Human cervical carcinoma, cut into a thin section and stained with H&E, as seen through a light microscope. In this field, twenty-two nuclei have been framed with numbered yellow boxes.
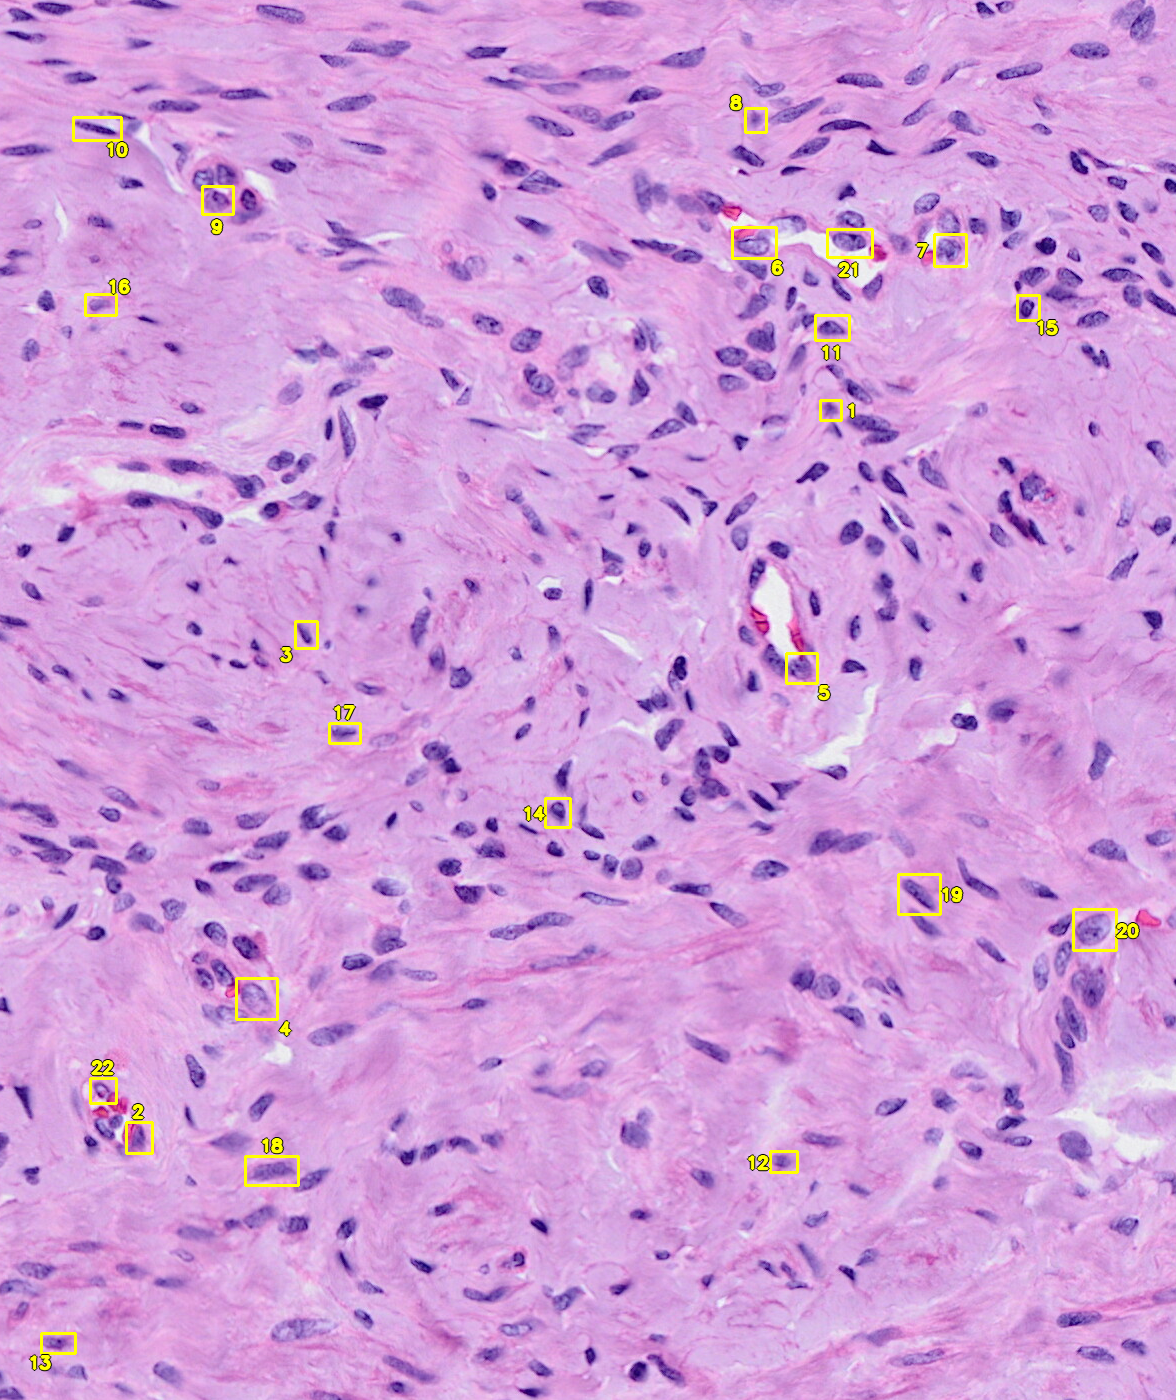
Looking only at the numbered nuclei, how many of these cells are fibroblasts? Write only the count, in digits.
10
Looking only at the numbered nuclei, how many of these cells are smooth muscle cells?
3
